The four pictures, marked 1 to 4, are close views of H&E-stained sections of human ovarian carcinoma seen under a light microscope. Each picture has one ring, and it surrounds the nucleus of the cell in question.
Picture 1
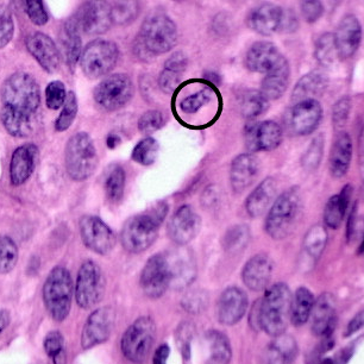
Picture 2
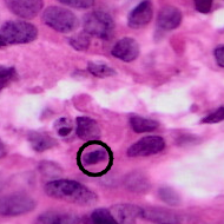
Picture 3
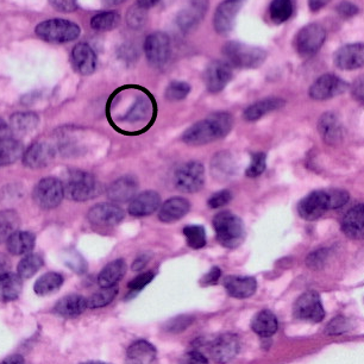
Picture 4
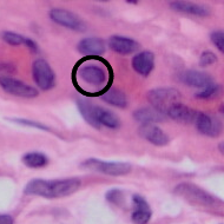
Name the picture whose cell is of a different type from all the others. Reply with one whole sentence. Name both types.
Picture 1 is the odd one out: it shows a “macrophage or monocyte”, while the others show endothelial cells.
